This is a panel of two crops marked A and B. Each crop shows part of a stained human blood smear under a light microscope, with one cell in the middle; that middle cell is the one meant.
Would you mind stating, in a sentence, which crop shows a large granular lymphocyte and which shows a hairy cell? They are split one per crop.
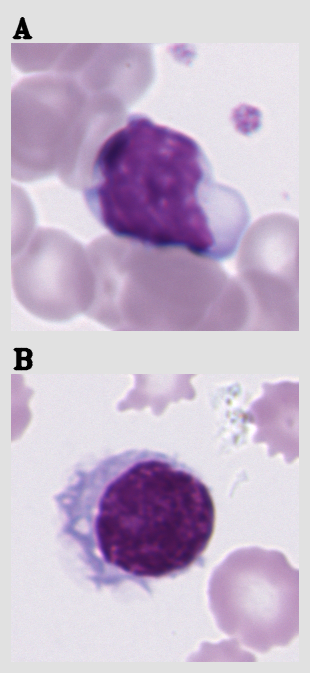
Whereas crop A contains a large granular lymphocyte, crop B contains a hairy cell.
